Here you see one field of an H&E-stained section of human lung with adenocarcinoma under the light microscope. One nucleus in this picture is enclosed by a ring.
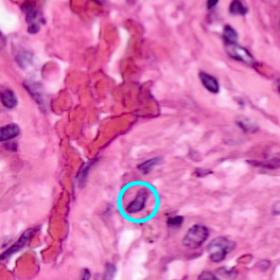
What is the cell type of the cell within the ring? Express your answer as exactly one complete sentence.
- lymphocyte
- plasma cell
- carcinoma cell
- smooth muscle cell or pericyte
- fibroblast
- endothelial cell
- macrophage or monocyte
In terms of identity, the cell within the ring is a plasma cell.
